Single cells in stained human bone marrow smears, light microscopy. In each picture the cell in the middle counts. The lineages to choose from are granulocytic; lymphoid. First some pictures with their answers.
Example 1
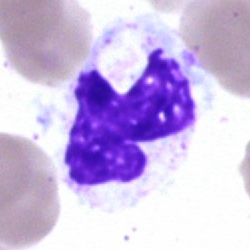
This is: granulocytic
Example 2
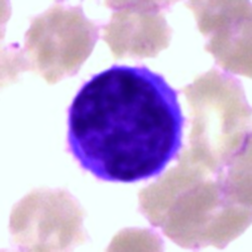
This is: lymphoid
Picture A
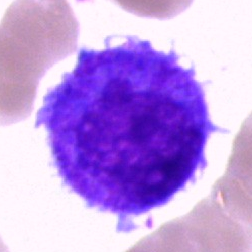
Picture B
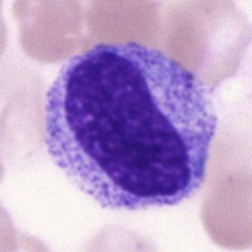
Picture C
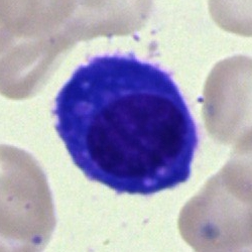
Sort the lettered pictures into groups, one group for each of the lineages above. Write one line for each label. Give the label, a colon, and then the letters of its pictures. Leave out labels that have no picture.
granulocytic: A, B
lymphoid: C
